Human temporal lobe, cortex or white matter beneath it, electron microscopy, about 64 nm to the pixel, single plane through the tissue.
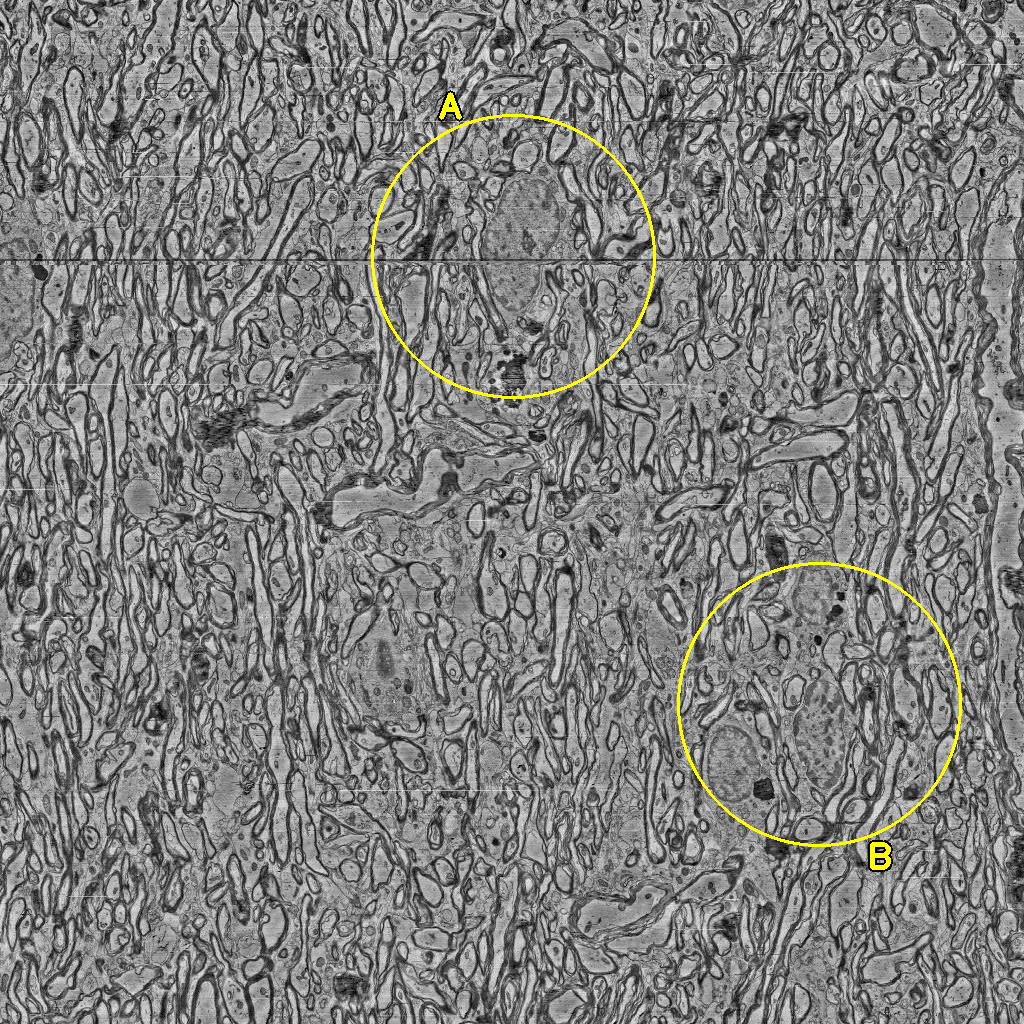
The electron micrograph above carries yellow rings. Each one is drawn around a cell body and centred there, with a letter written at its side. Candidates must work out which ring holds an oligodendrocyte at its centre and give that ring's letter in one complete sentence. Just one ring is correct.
Letter A marks the ring whose centre holds that kind of cell.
